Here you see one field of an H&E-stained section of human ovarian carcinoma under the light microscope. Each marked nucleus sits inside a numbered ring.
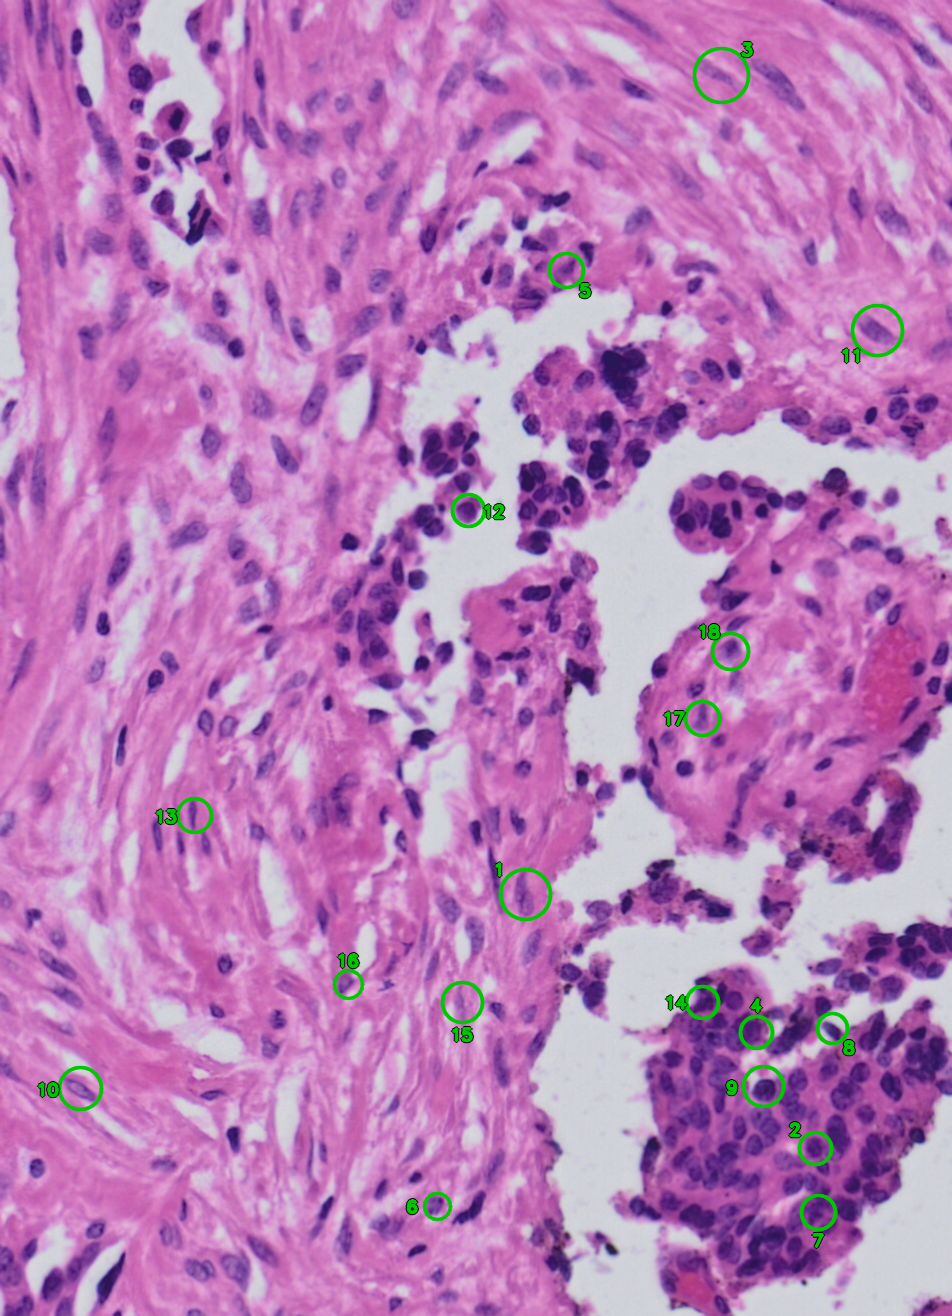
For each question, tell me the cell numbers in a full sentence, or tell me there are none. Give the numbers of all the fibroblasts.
The cells identified by the numbers 1, 3, 6, 10, 11, 13, 15, 16, 17 and 18 are fibroblasts.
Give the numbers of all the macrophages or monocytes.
The numbered cells include exactly one that is a macrophage or monocyte, which is cell 5.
